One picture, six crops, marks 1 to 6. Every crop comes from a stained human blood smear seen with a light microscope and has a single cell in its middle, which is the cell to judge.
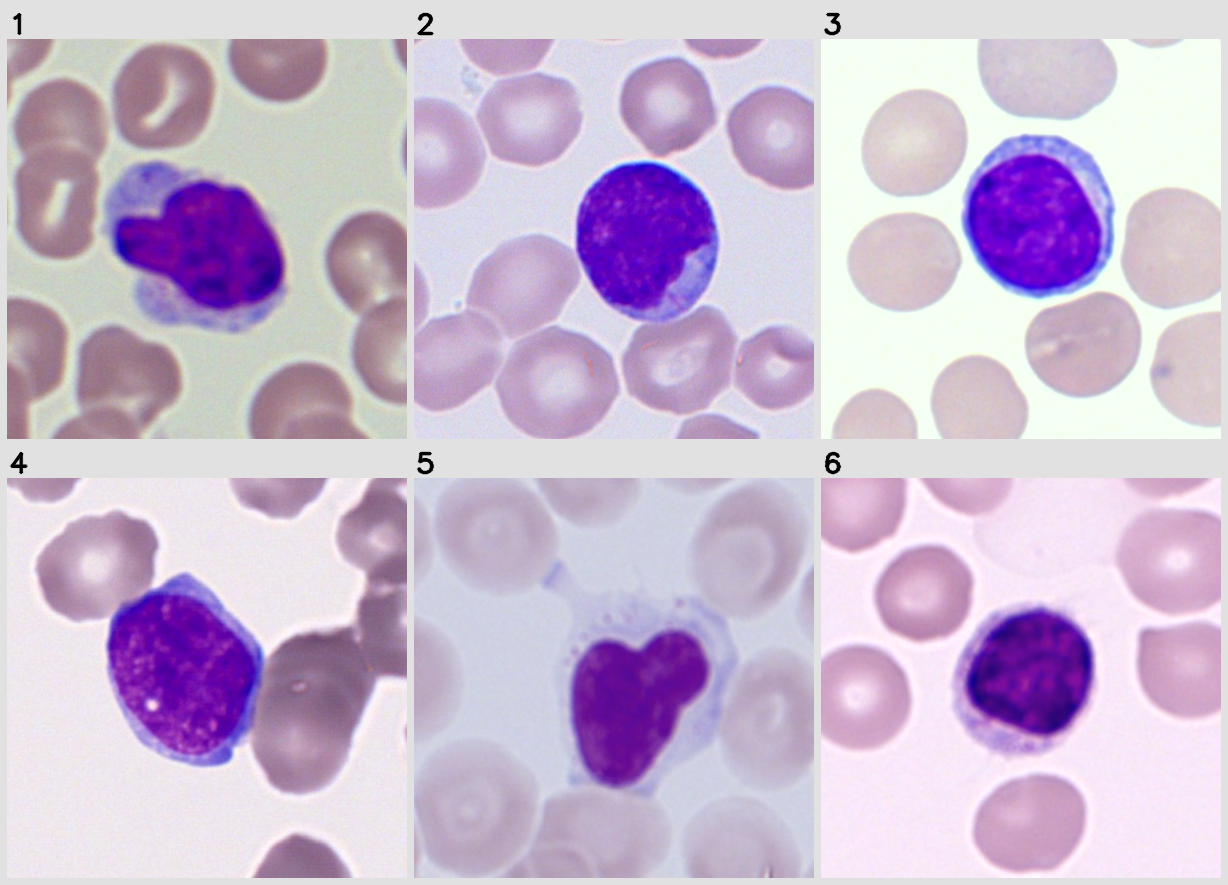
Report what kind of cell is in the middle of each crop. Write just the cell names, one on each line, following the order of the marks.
lymphocyte
myeloblast
lymphocyte
myeloblast
lymphocyte
lymphocyte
